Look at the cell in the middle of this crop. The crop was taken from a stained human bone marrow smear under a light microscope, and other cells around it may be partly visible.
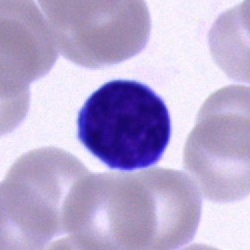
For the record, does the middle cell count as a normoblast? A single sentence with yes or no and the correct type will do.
No, the cell in the middle is categorised as a lymphocyte, not a normoblast.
